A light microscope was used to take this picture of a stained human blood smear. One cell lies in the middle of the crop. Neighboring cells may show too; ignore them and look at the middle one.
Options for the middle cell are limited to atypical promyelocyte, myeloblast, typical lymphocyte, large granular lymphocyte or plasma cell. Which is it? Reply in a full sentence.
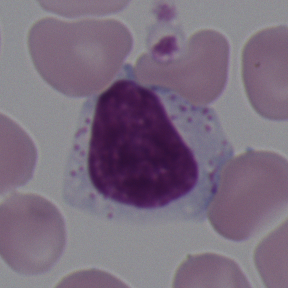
Seen at the centre of the crop is a large granular lymphocyte.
